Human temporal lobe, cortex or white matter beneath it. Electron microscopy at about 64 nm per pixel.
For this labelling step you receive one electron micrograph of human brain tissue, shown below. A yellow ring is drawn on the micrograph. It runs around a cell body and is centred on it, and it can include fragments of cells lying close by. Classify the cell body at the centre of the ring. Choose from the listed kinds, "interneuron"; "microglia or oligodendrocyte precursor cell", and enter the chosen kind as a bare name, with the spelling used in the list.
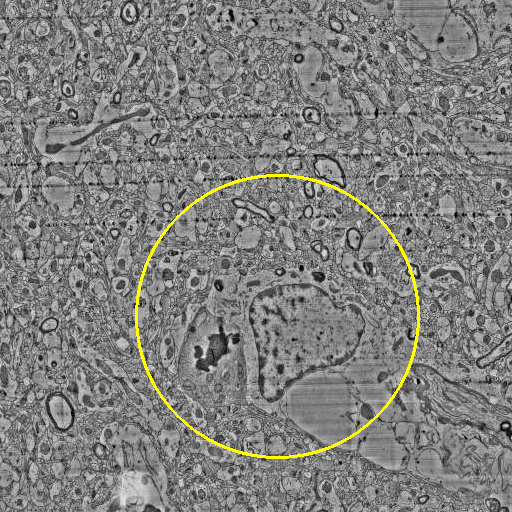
microglia or oligodendrocyte precursor cell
